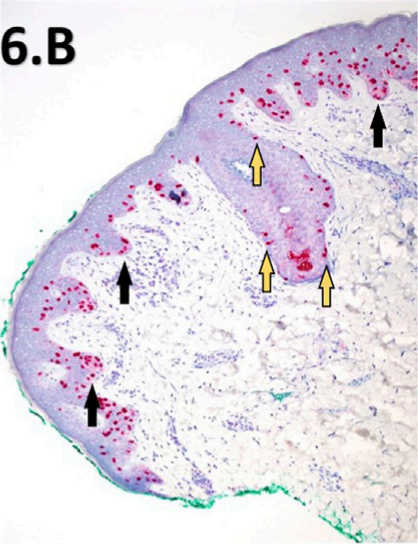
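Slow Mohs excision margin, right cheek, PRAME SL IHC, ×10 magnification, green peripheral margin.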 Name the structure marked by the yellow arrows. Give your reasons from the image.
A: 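Red-stained nuclei line the outer edge of this downgrowth. That points to this answer: adnexal structures.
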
